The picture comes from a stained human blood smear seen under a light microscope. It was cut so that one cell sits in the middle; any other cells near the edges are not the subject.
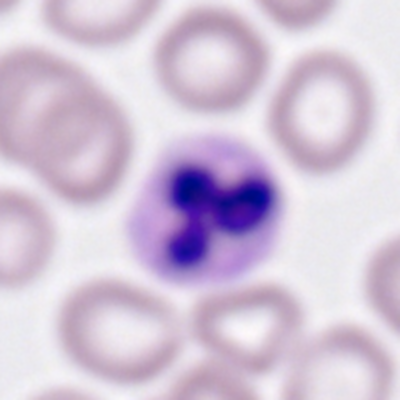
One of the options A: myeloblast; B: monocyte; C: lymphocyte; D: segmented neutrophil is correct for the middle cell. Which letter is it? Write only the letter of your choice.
D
